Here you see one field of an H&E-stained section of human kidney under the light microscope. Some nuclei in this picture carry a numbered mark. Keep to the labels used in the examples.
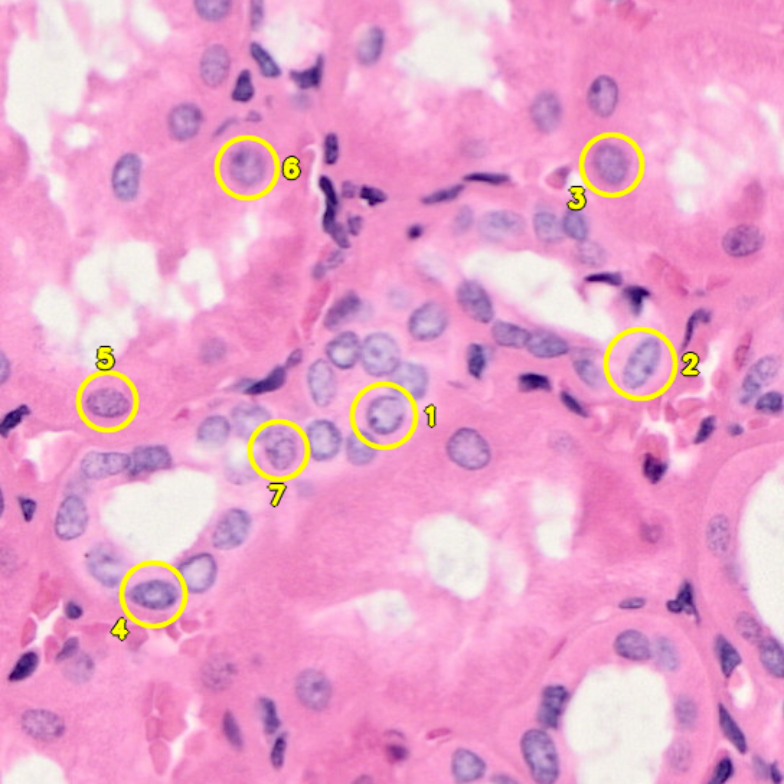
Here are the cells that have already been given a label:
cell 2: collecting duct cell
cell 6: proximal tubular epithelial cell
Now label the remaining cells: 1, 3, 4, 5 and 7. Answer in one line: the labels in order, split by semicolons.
collecting duct cell; proximal tubular epithelial cell; collecting duct cell; proximal tubular epithelial cell; collecting duct cell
